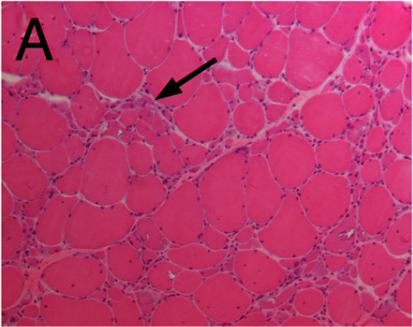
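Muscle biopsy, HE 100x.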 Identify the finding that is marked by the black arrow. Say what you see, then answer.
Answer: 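The arrow points into a cluster of small angular fibres. Nearby fibres are many times larger. Small fibres lie grouped together between large ones. On this evidence: atrophic fibers.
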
